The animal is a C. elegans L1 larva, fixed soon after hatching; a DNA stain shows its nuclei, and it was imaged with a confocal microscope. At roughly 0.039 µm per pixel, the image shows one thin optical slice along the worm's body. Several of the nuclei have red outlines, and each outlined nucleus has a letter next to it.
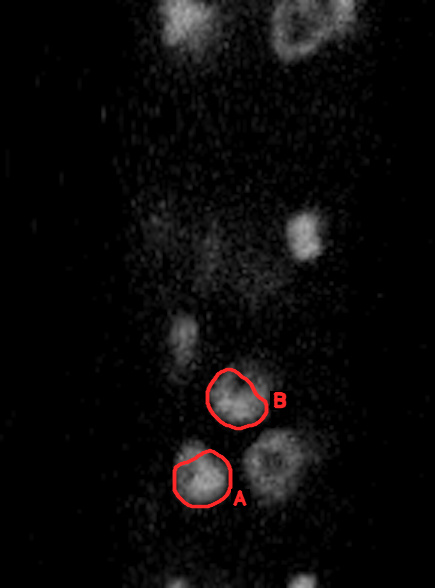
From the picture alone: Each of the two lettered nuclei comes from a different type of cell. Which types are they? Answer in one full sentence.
A belongs to a P cell (ventral epidermal blast cell) and B to a seam cell.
